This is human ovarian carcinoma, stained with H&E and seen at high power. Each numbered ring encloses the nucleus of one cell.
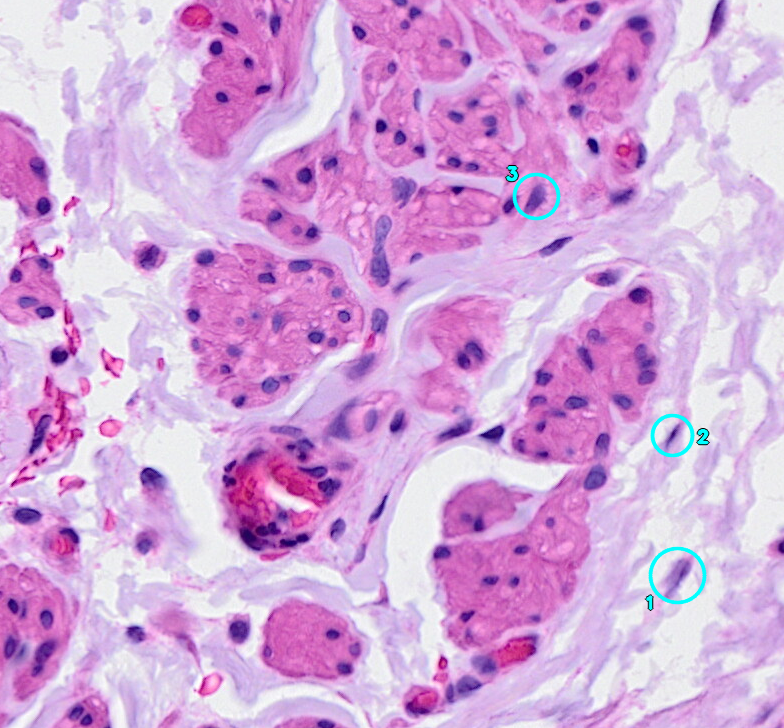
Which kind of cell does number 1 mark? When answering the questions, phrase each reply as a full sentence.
Identified as a fibroblast is the cell bearing the number 1.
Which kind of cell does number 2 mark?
The cell numbered 2 has been identified as a fibroblast.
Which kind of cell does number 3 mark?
Cell 3, among those numbered, is a smooth muscle cell.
